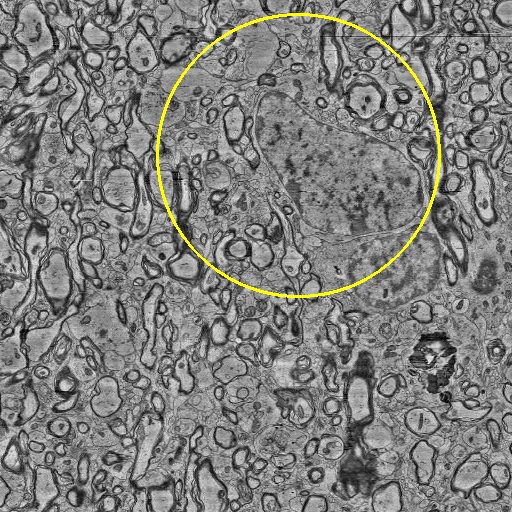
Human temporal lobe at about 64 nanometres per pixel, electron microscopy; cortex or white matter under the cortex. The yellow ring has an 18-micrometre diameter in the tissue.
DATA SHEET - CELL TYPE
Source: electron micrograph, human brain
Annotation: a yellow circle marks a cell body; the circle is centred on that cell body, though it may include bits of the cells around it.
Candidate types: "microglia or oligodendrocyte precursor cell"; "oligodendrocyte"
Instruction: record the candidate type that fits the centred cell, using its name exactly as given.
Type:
microglia or oligodendrocyte precursor cell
